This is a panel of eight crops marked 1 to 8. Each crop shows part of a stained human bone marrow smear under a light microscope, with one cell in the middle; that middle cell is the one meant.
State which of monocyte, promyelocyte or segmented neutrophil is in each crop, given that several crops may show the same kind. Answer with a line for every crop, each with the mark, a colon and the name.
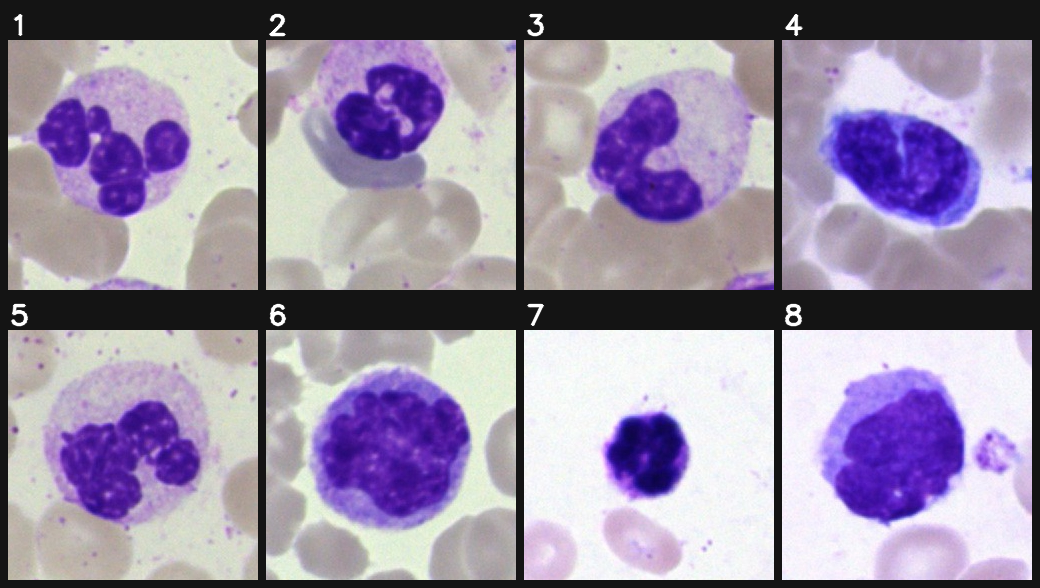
1: segmented neutrophil
2: segmented neutrophil
3: segmented neutrophil
4: monocyte
5: segmented neutrophil
6: monocyte
7: segmented neutrophil
8: monocyte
